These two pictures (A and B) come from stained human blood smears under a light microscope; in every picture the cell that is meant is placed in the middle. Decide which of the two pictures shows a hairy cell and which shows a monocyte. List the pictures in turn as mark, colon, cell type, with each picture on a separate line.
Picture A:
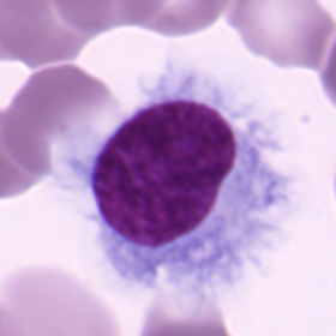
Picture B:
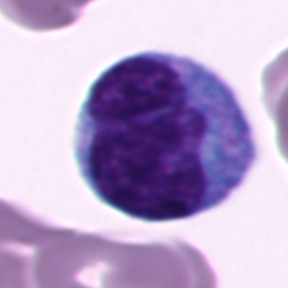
A: hairy cell
B: monocyte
